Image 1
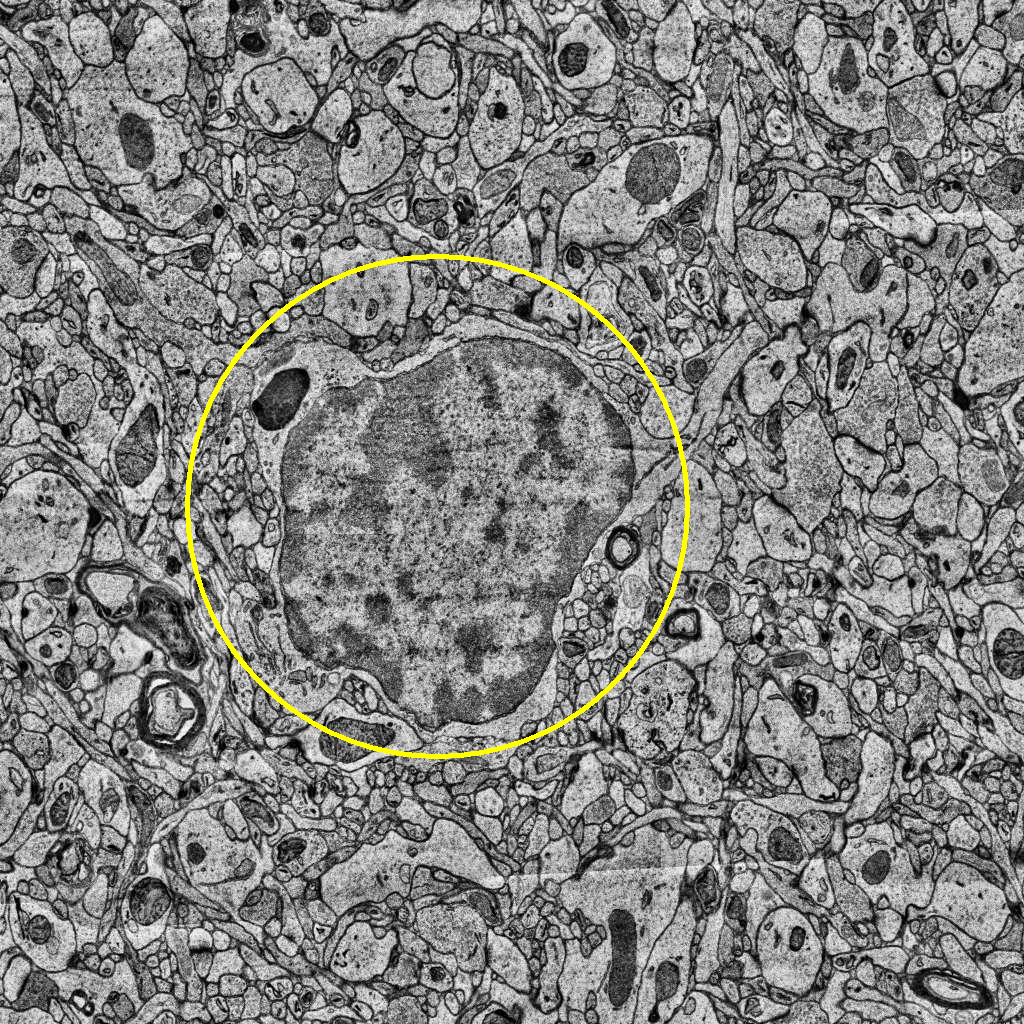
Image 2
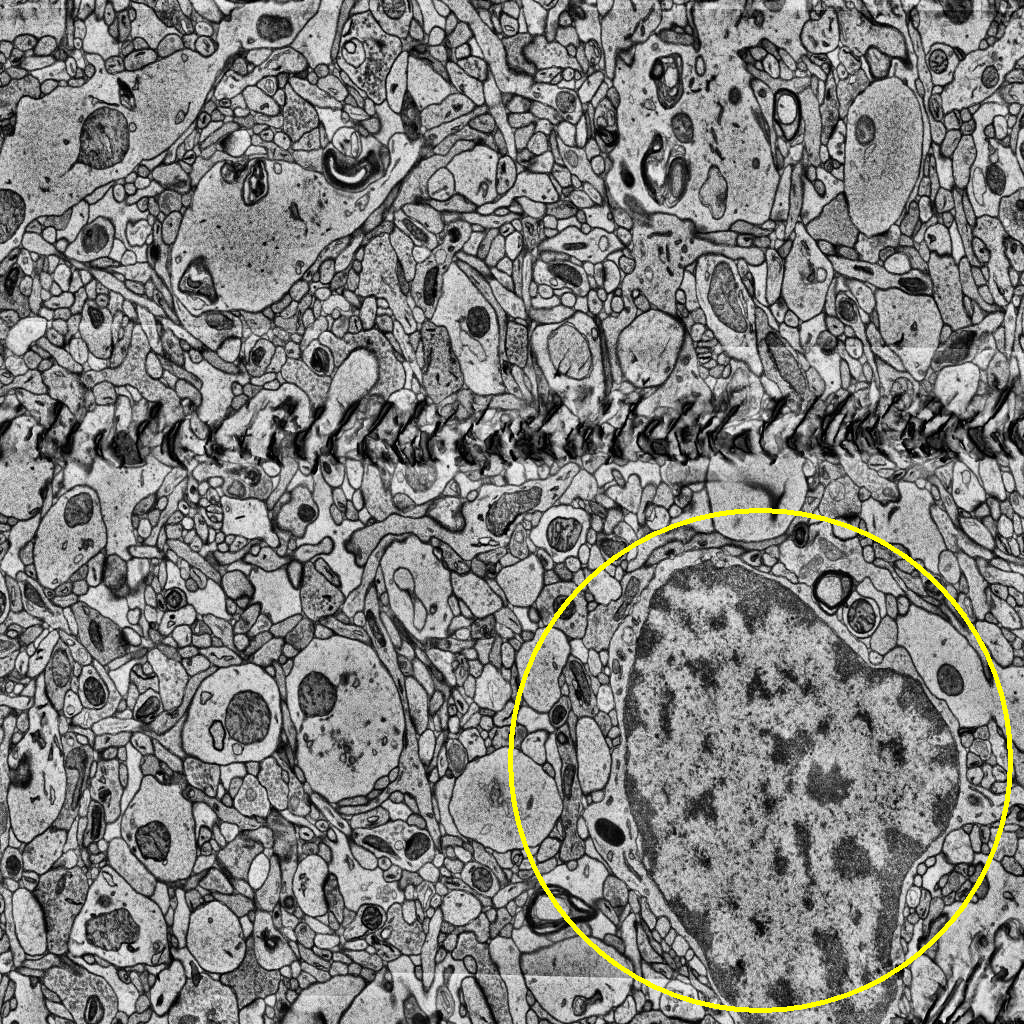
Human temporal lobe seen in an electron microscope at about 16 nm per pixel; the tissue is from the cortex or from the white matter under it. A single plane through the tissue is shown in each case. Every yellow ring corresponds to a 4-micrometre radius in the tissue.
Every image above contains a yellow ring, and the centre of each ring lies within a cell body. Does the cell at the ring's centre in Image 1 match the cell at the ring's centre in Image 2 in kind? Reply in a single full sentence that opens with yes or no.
Yes, the cell at the ring's centre in Image 1 is the same kind as that in Image 2.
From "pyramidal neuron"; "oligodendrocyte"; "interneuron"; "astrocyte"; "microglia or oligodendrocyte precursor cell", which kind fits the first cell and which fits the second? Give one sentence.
Both pictures show a microglial cell or oligodendrocyte precursor cell at the centre of the ring.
